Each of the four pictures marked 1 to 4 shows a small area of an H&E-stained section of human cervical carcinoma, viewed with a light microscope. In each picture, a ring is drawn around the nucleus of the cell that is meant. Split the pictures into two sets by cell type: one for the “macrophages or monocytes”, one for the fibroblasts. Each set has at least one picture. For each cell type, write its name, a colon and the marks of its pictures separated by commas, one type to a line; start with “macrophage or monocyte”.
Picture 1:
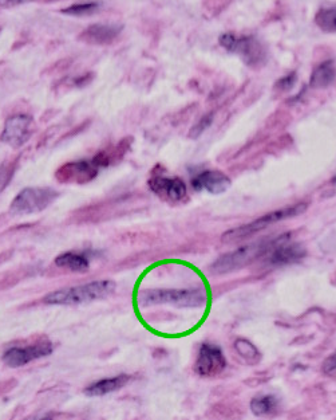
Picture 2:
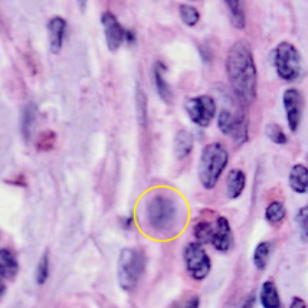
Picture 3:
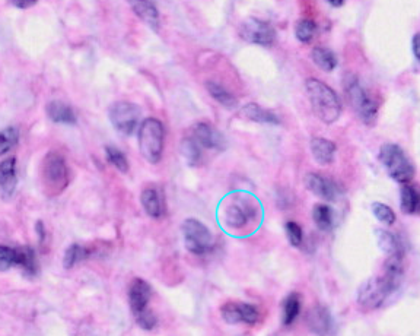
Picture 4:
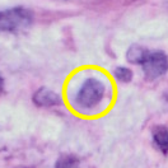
macrophage or monocyte: 2, 3, 4
fibroblast: 1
